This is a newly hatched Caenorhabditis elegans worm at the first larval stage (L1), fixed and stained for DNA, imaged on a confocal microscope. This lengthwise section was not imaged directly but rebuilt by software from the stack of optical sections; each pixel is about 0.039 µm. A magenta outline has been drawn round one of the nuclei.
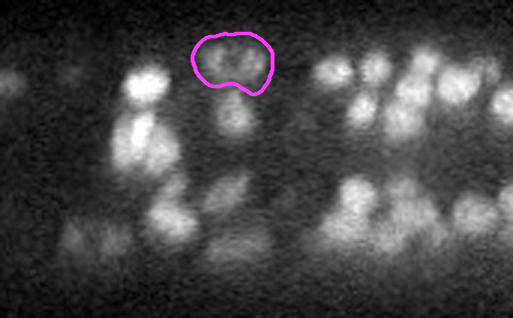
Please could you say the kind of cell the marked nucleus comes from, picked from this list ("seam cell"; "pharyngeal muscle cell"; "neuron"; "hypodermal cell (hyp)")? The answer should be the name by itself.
seam cell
